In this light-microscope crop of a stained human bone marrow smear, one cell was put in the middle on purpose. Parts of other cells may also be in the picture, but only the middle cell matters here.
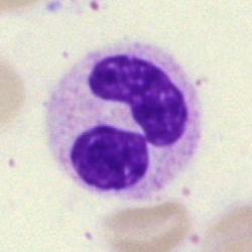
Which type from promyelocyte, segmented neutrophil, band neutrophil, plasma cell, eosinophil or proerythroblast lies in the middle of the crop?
segmented neutrophil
